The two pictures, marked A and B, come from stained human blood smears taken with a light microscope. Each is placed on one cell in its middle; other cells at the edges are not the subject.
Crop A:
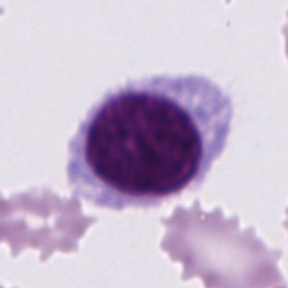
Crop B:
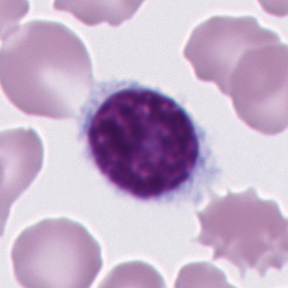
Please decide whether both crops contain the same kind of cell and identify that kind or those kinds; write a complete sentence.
Yes, both crops show hairy cells in their central position.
